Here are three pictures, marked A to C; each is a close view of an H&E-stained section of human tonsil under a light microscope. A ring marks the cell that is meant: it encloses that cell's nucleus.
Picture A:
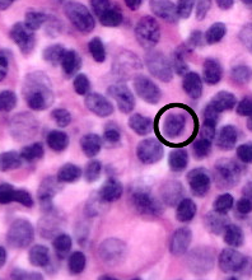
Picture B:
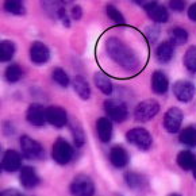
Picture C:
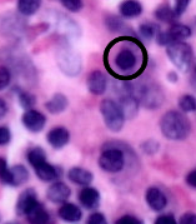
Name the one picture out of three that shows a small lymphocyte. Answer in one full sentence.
The cell in picture A is the small lymphocyte.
